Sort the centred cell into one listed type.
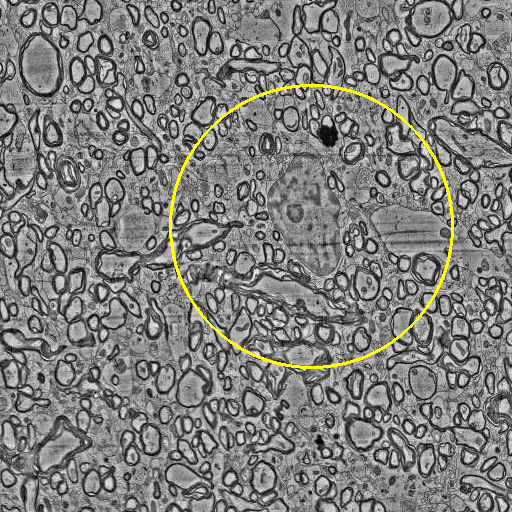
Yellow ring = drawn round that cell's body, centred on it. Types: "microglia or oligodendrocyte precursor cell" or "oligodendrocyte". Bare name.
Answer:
microglia or oligodendrocyte precursor cell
